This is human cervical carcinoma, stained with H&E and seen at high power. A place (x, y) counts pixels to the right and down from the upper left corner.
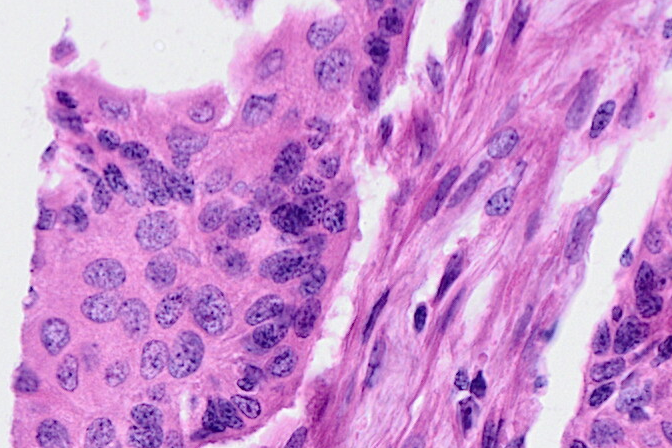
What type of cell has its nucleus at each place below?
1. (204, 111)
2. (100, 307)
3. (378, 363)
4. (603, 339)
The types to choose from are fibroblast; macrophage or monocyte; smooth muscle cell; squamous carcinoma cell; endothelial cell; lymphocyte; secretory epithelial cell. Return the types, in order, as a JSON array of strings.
["squamous carcinoma cell", "squamous carcinoma cell", "fibroblast", "squamous carcinoma cell"]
